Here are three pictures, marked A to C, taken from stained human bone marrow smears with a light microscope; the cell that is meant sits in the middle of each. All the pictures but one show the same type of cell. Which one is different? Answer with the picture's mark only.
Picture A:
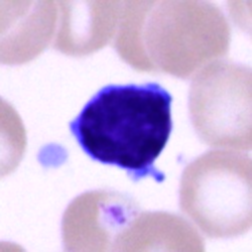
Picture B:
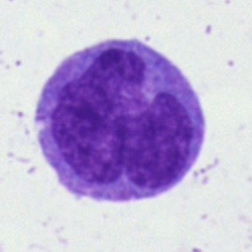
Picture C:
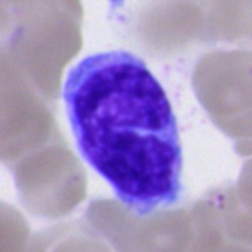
A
